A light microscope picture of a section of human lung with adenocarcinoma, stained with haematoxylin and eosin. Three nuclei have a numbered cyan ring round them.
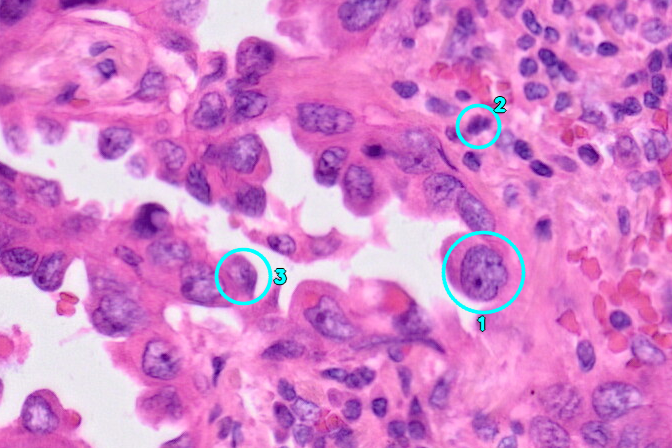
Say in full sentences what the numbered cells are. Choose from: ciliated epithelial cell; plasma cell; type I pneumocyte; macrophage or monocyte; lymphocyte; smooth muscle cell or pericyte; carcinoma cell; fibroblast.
Cell 1 is a carcinoma cell, cell 2 is a lymphocyte and cell 3 is a carcinoma cell.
